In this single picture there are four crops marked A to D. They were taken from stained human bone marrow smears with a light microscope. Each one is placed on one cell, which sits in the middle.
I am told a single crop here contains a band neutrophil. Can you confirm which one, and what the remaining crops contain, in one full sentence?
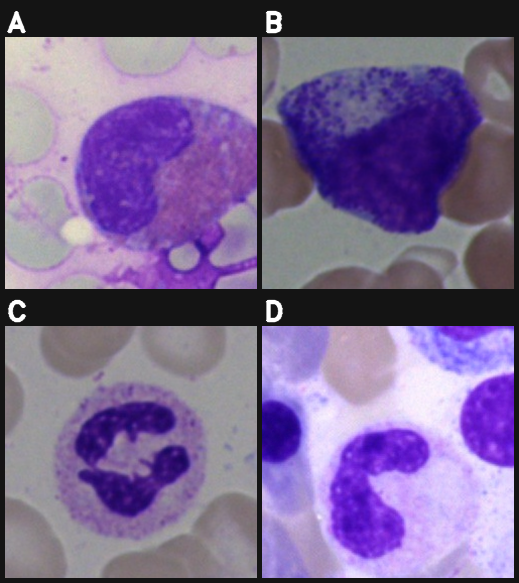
It is crop D that shows a band neutrophil, while crop A is an eosinophil, crop B is a myelocyte and crop C is a segmented neutrophil.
